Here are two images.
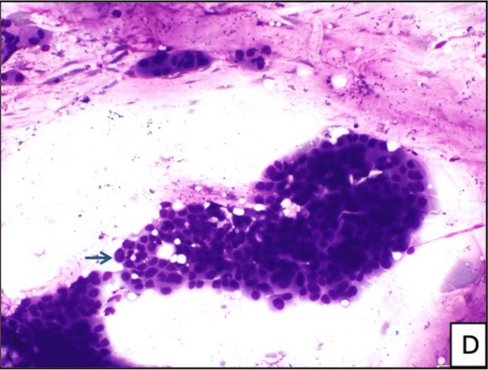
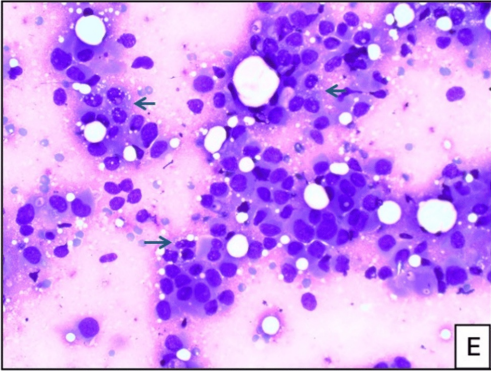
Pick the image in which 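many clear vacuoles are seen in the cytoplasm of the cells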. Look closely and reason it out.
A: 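The second image. Second image: numerous round clear vacuoles are scattered among and within the cells. First image: a crowded dark cluster with only a few small clear spaces.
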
